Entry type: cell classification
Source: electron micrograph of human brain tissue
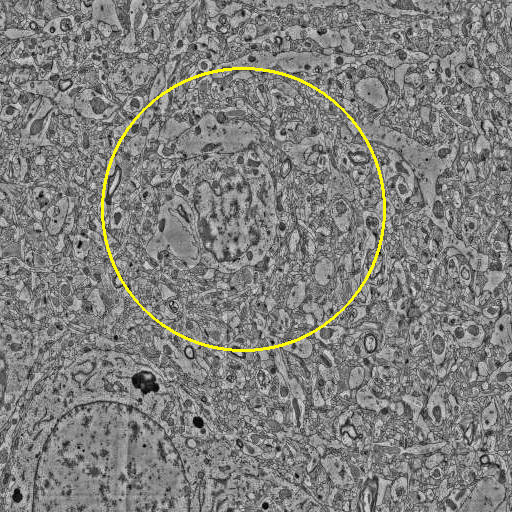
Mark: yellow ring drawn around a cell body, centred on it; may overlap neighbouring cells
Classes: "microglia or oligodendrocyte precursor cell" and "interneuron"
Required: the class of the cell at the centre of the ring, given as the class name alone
interneuron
